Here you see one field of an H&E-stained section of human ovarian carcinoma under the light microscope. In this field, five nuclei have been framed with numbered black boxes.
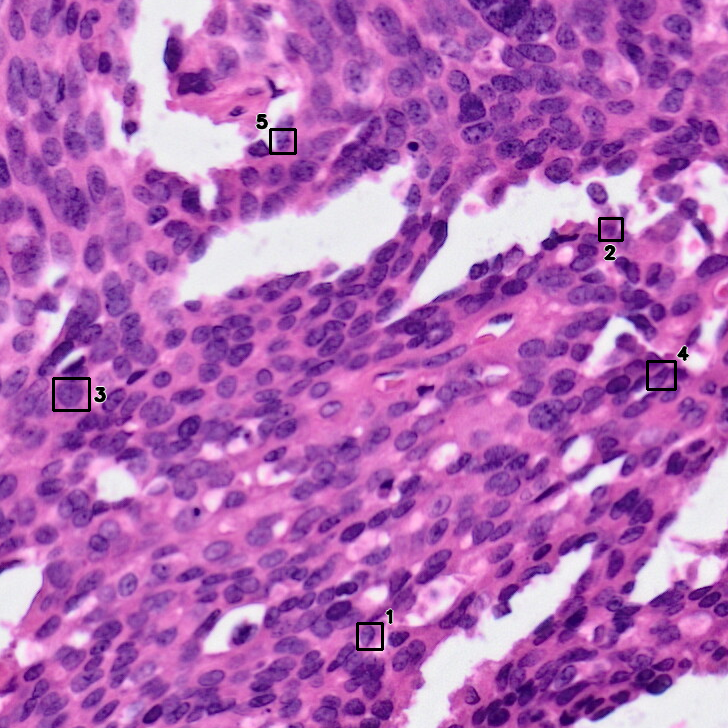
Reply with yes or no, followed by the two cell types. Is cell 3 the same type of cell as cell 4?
Yes, cells number 3 and number 4 are both carcinoma cells.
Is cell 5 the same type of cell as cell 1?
Yes, in this section cells 5 and 1 are both macrophages or monocytes.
